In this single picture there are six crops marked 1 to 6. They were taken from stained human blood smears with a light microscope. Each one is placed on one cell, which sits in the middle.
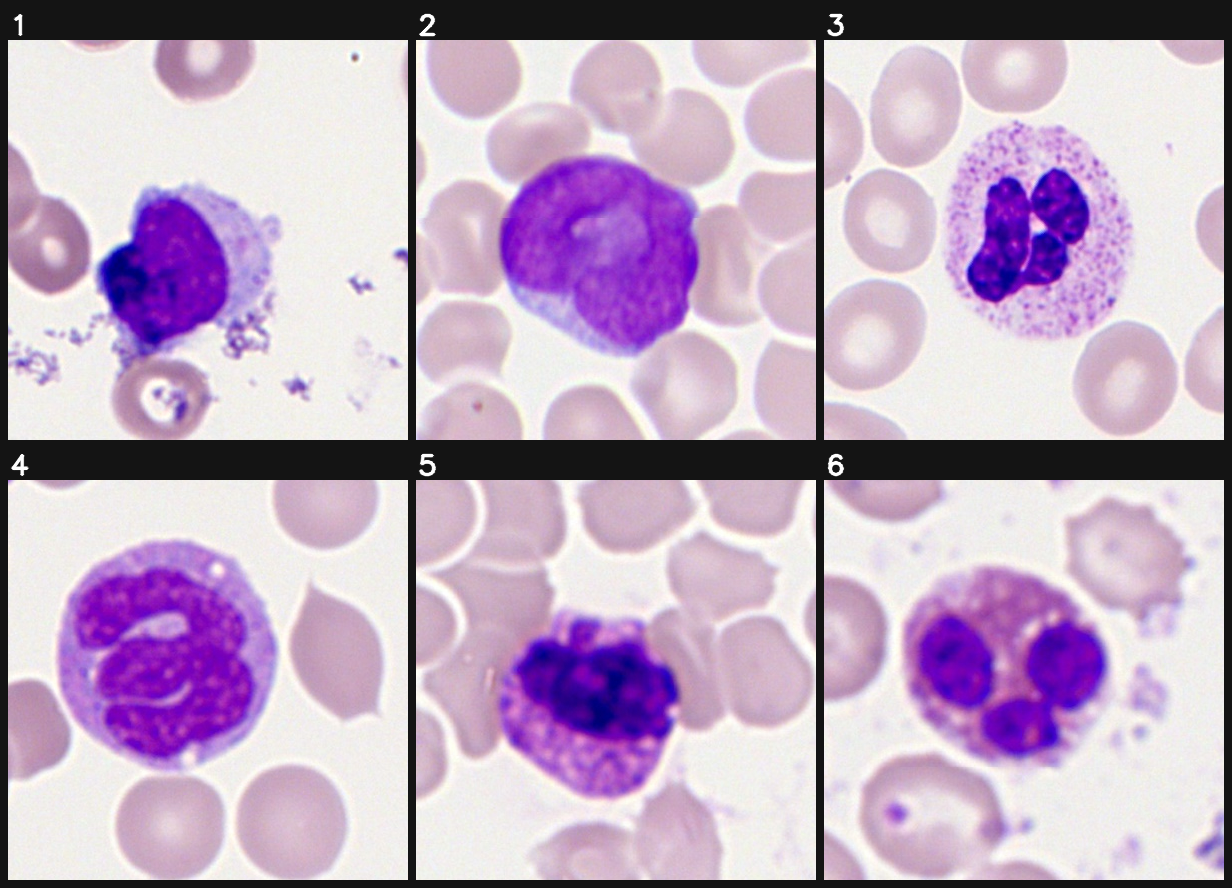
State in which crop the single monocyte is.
4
